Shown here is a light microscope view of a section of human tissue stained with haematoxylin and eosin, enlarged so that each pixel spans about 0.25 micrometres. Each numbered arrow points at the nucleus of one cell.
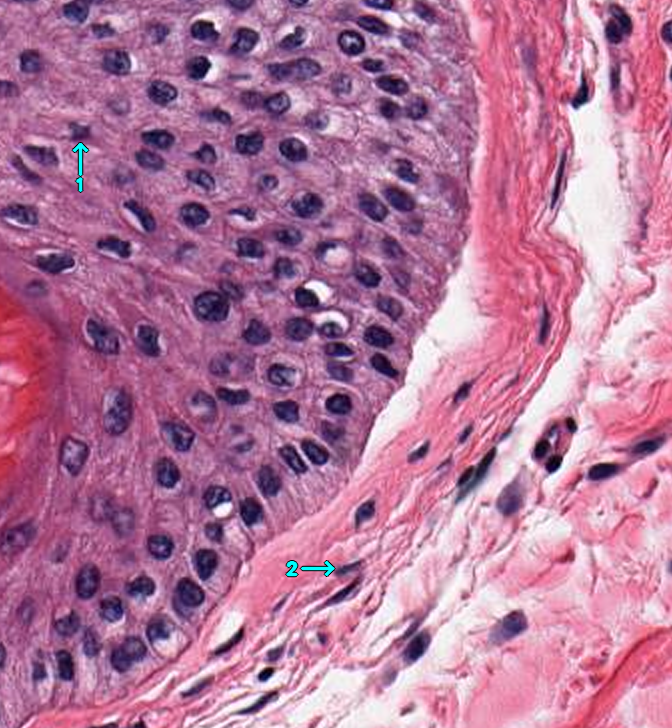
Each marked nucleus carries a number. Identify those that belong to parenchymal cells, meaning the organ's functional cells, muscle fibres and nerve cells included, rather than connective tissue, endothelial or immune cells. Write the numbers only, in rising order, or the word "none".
1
